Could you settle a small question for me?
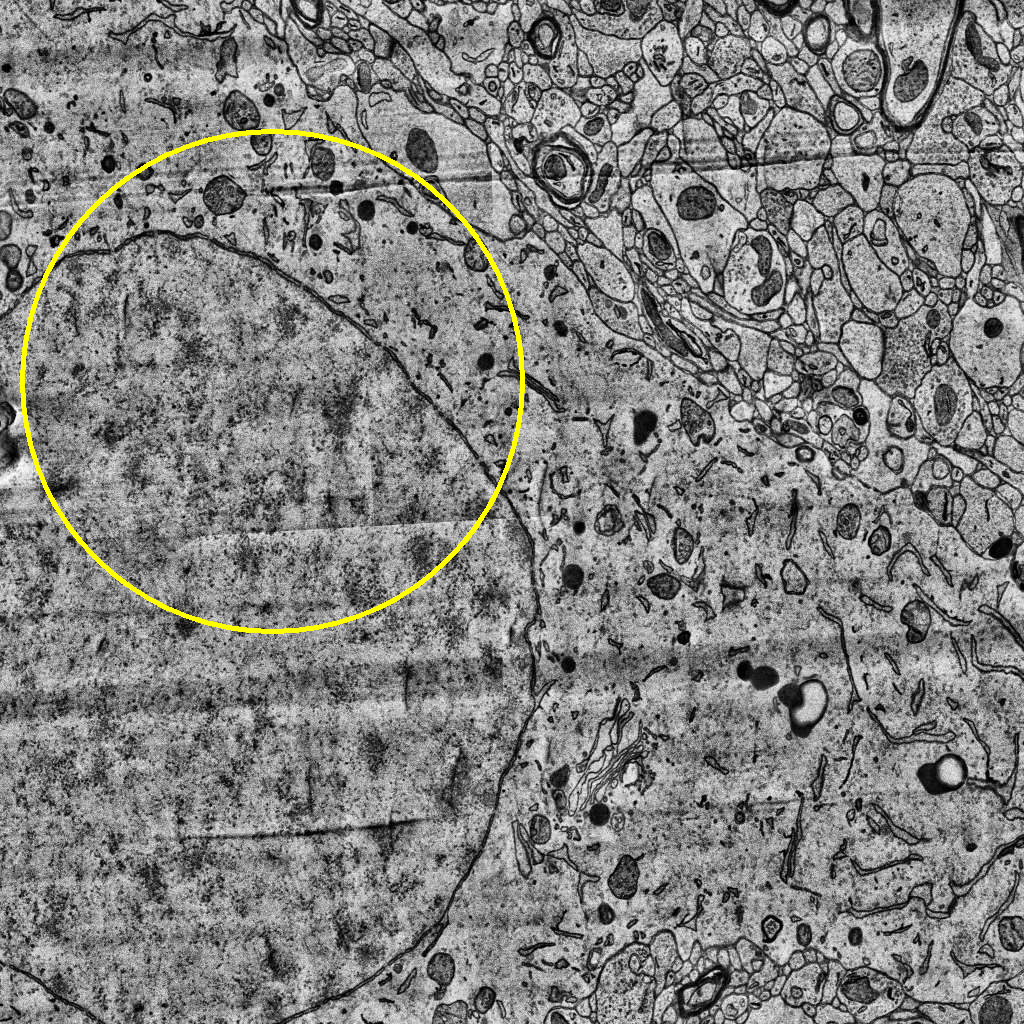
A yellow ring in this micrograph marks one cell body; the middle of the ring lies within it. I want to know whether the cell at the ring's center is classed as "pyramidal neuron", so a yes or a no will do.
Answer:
yes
